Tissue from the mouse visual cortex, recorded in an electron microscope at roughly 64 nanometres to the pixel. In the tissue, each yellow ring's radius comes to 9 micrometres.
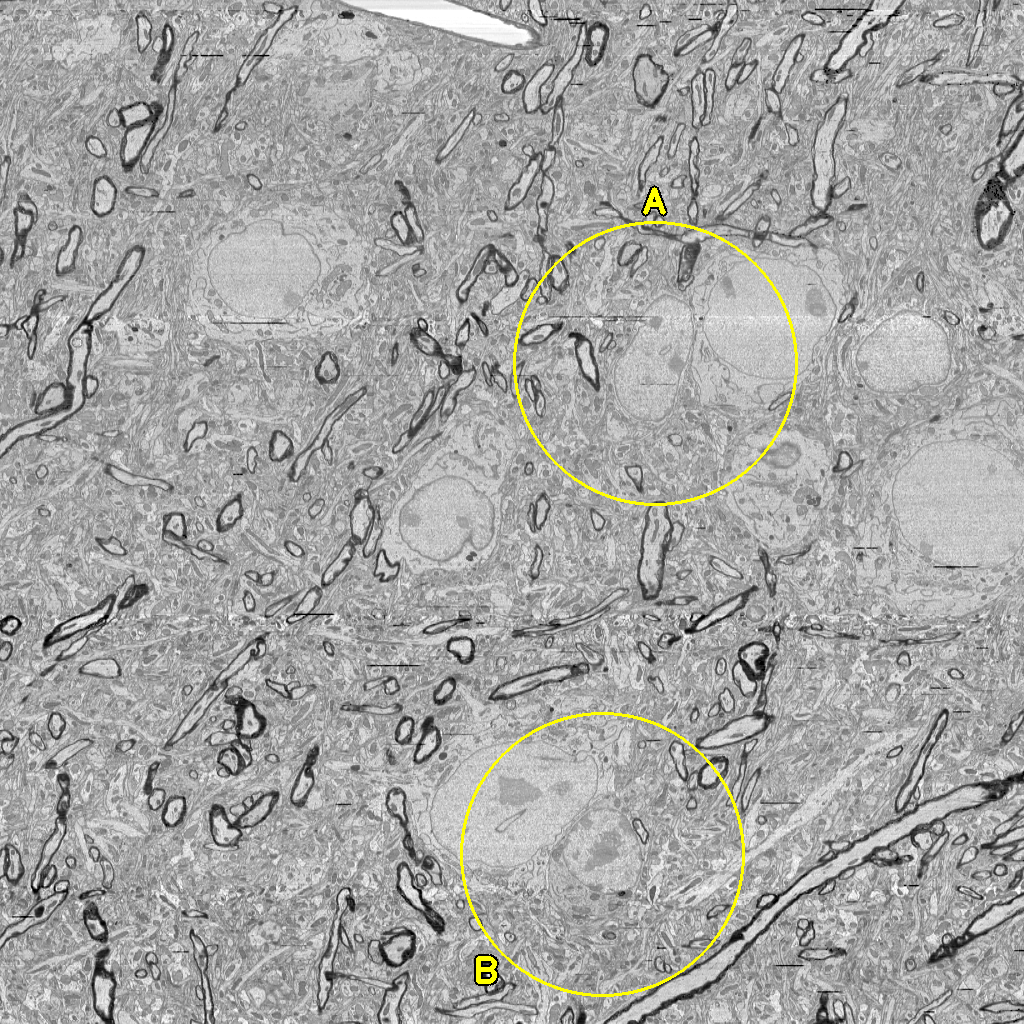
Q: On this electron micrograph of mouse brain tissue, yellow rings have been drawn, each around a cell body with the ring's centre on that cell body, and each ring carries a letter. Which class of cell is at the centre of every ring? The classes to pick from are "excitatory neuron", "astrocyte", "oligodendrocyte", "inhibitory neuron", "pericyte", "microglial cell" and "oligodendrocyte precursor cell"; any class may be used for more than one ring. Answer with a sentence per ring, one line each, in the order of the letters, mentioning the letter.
The centre of ring A is occupied by an oligodendrocyte precursor cell.
The centre of ring B is occupied by an oligodendrocyte.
